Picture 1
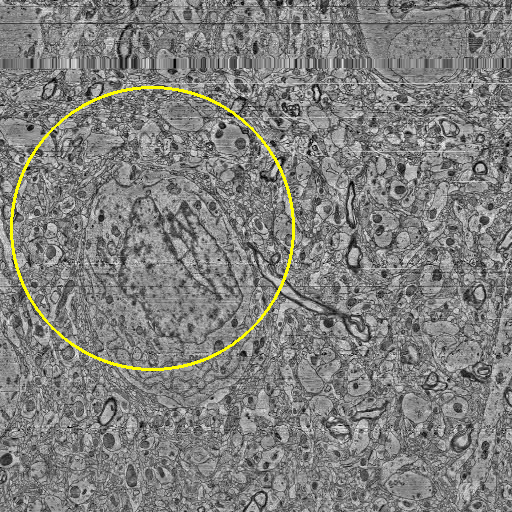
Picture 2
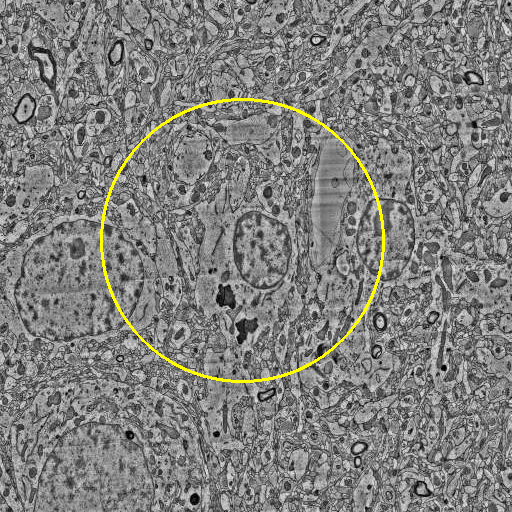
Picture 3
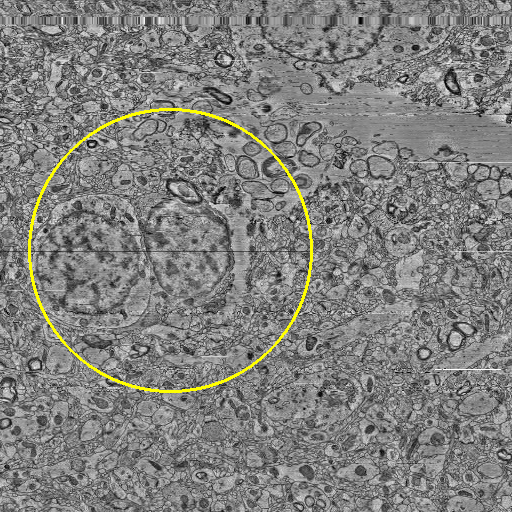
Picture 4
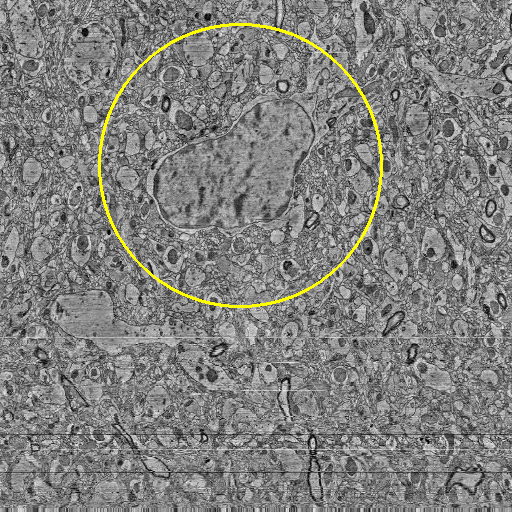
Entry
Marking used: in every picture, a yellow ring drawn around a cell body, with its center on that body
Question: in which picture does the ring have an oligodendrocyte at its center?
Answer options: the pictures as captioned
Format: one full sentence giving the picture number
Picture 3 is where the ring's center falls on the requested cell.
